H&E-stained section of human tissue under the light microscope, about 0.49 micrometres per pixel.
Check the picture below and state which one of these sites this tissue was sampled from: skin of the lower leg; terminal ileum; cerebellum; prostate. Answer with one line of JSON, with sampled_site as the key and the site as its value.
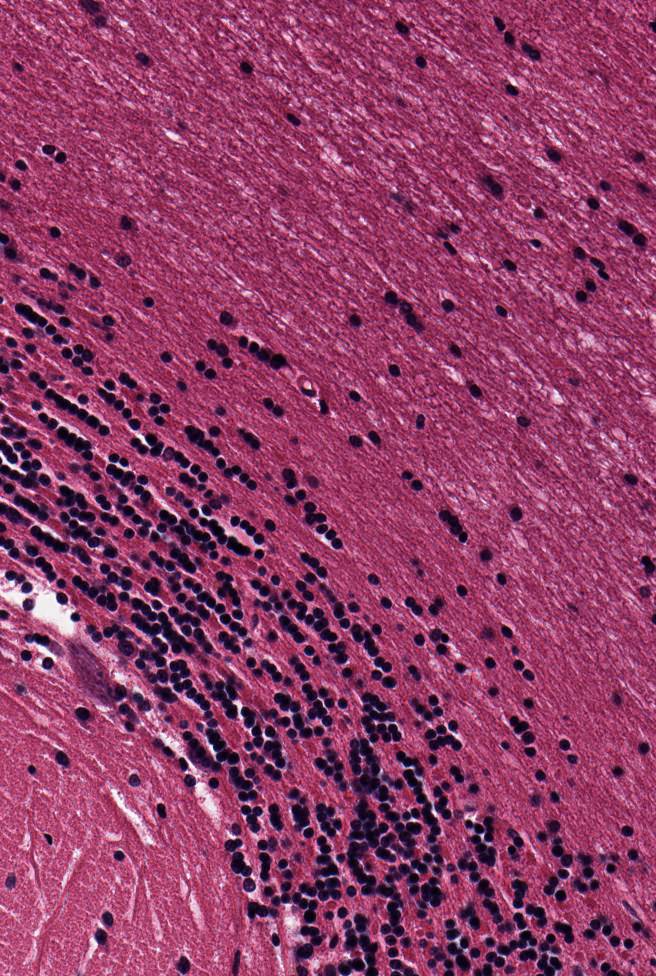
{"sampled_site": "cerebellum"}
